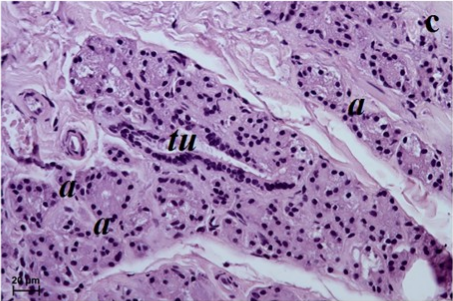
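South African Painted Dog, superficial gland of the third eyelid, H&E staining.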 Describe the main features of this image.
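Glandular tissue made of acini and a tubule is seen between strands of pink connective tissue. The acinar cells have pale pink cytoplasm and small round dark purple nuclei, grouped into rounded clusters. A tubule runs diagonally through the middle, lined by cells with elongated, closely packed dark nuclei. Thin bands of pale pink fibrous tissue with small vessels separate the glandular groups.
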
